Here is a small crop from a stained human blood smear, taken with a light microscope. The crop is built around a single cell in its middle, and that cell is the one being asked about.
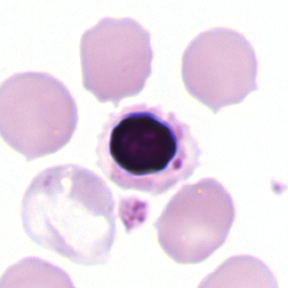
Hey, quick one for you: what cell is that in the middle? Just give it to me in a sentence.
Positioned in the middle of the crop is a normoblast.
